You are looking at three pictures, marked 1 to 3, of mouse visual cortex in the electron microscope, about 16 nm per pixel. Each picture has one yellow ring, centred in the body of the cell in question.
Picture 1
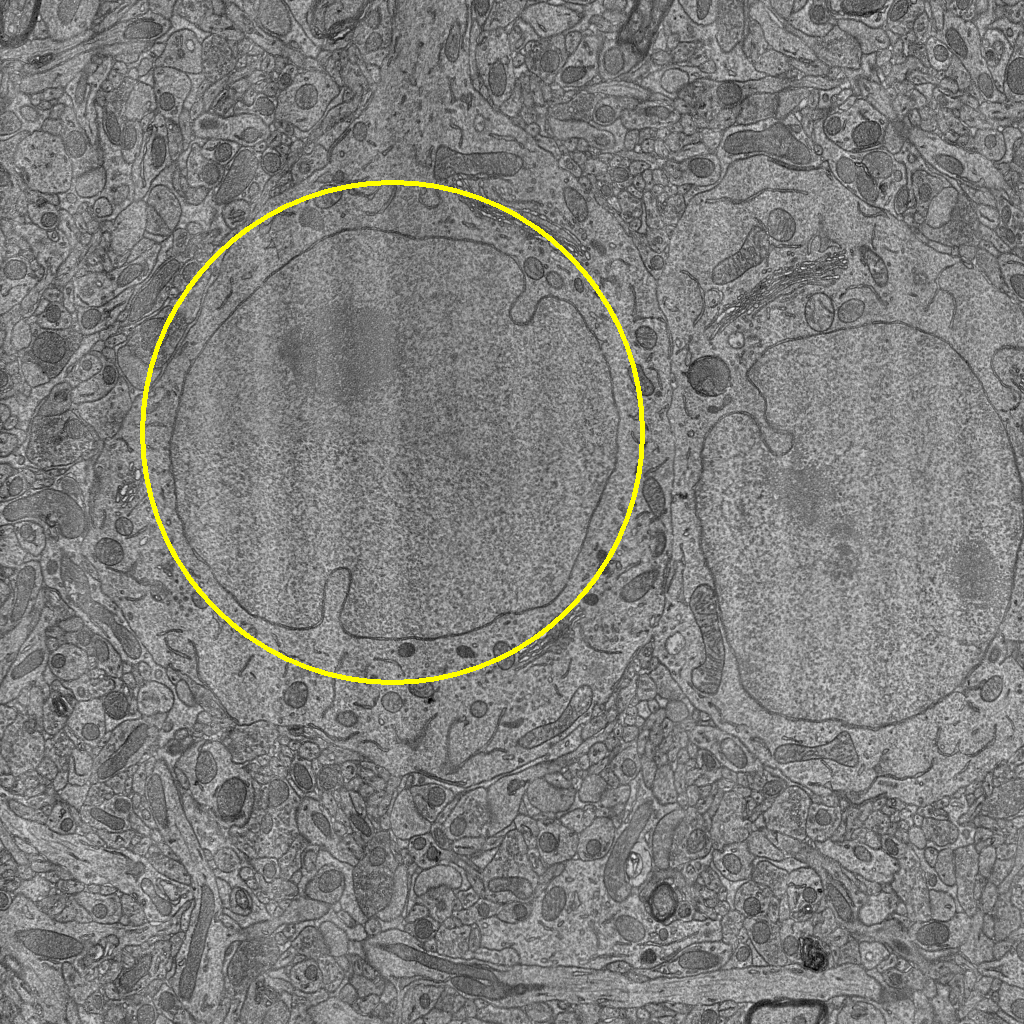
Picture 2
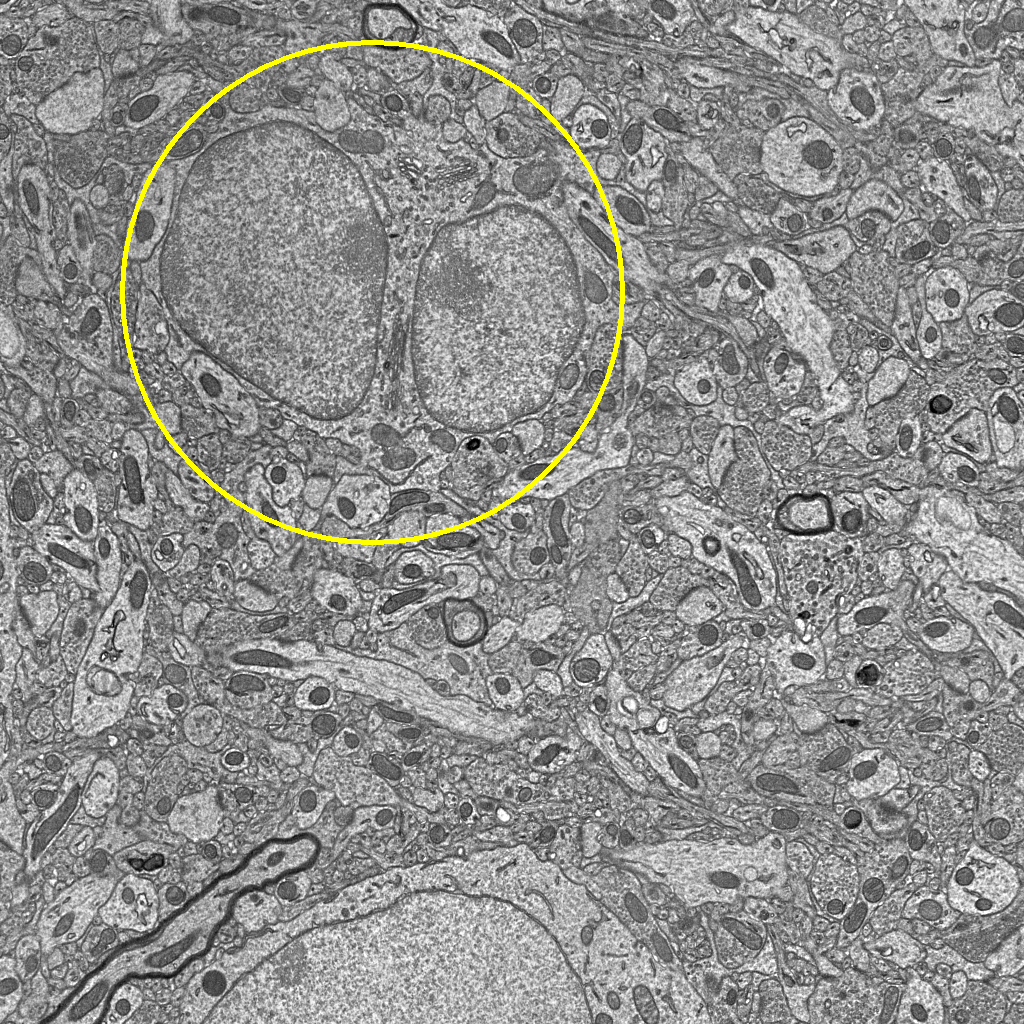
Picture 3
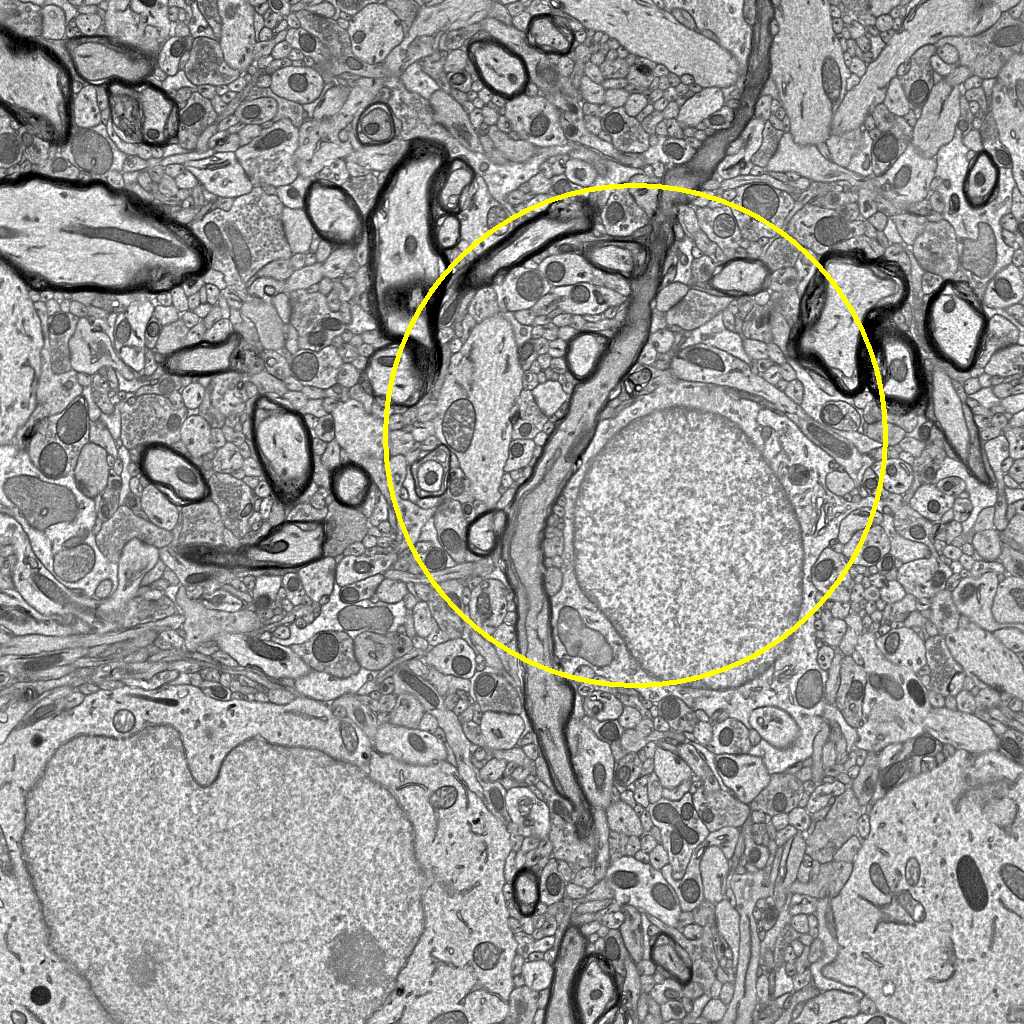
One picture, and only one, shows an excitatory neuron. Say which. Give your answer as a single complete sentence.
Picture 1 shows the excitatory neuron.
